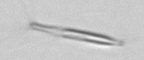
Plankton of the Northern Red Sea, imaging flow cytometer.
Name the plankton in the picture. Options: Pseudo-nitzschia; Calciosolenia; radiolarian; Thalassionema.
Calciosolenia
